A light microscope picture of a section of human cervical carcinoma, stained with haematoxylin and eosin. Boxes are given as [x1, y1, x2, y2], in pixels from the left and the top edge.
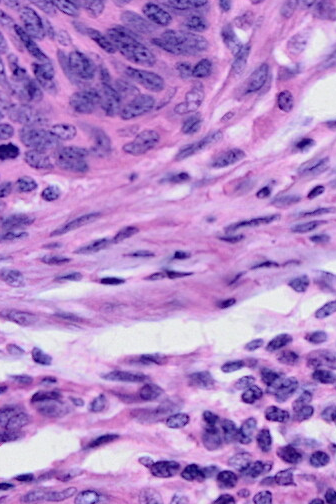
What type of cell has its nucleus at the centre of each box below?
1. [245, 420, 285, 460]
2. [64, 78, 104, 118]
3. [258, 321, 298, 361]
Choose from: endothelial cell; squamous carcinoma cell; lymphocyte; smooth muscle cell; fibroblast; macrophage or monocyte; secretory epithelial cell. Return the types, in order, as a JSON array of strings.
["lymphocyte", "squamous carcinoma cell", "lymphocyte"]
